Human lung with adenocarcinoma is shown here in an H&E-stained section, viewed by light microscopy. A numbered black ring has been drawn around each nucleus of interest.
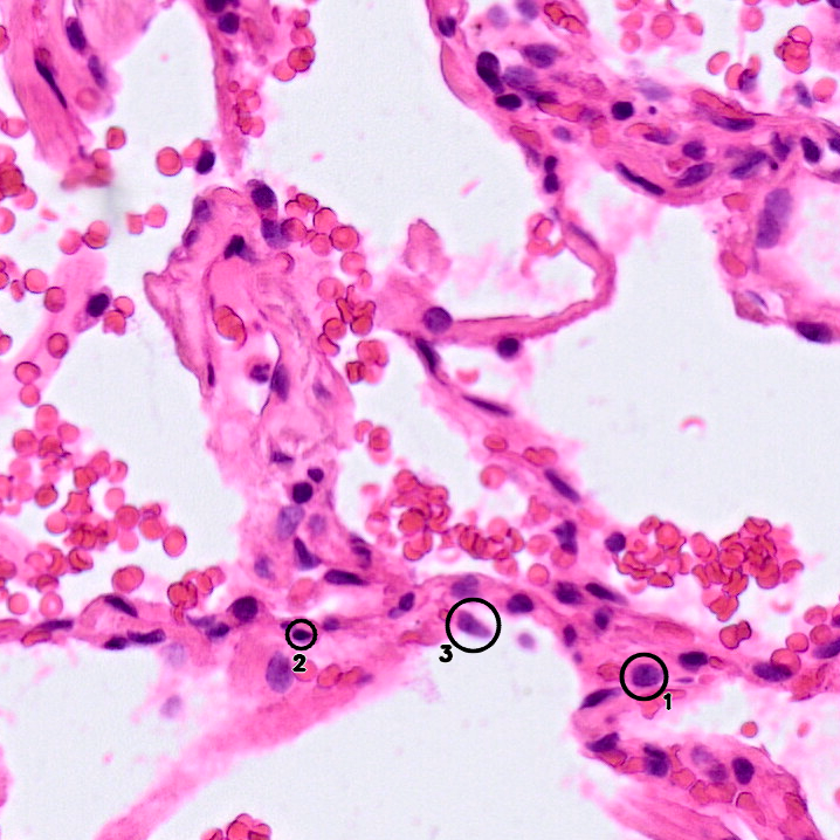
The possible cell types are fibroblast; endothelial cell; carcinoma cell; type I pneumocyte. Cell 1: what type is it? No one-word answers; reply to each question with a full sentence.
Classified as a type I pneumocyte is the cell with the number 1.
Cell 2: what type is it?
Among the marked cells, number 2 is an endothelial cell.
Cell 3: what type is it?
Corresponding to a type I pneumocyte is the cell labelled 3.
